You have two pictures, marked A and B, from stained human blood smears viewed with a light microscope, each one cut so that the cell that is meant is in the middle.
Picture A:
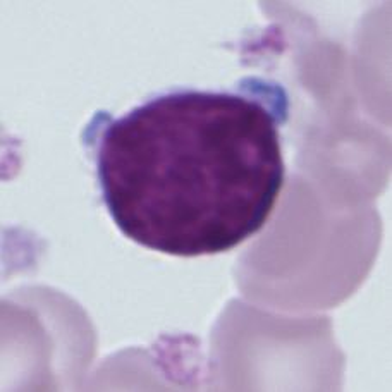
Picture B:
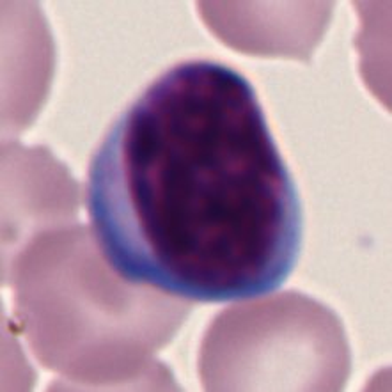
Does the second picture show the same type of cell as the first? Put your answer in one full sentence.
Yes, they are the same type: both are typical lymphocytes.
